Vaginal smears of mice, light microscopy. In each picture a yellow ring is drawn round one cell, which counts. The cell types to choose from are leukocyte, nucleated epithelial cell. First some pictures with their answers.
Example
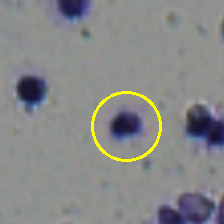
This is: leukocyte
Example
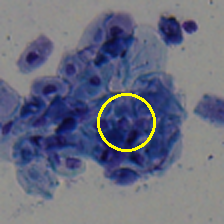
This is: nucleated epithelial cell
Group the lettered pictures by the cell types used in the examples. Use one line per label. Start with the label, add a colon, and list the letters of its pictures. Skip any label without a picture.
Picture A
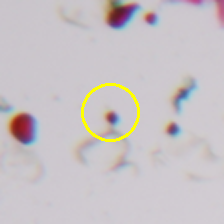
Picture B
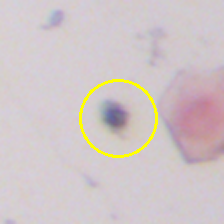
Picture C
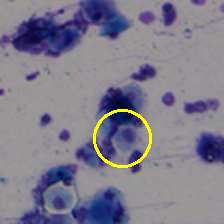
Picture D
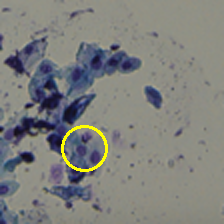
leukocyte: A, B
nucleated epithelial cell: C, D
